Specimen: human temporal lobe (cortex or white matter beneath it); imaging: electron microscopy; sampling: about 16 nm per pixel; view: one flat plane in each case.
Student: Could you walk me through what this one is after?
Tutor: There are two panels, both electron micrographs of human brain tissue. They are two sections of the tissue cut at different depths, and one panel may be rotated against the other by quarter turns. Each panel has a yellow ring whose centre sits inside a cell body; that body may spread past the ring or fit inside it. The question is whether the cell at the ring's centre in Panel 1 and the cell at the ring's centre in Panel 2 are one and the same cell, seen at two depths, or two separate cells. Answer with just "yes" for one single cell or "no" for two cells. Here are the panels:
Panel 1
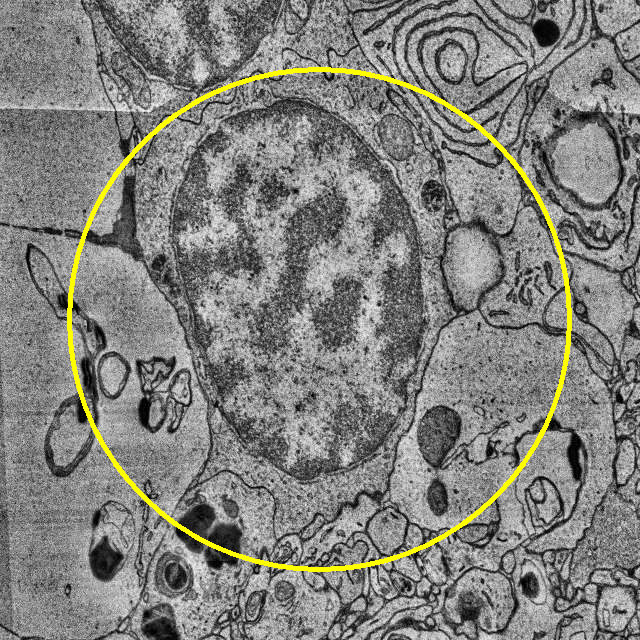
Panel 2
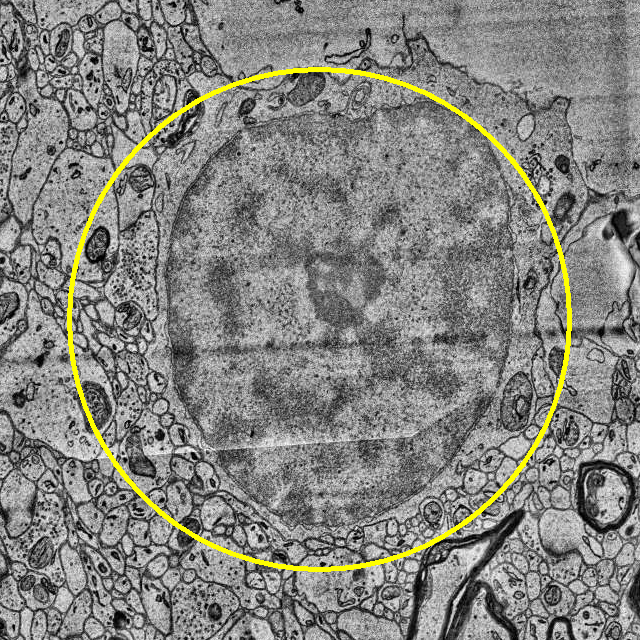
no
